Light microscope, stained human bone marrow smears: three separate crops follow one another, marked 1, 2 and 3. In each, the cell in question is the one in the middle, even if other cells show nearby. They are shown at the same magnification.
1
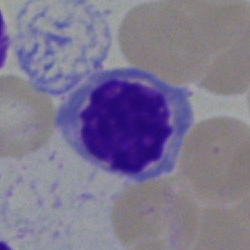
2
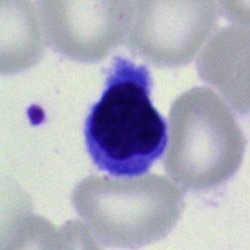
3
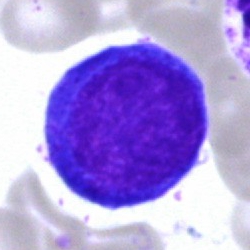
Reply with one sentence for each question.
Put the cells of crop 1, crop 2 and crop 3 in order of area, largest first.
Going down, they run 3, 1, 2.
